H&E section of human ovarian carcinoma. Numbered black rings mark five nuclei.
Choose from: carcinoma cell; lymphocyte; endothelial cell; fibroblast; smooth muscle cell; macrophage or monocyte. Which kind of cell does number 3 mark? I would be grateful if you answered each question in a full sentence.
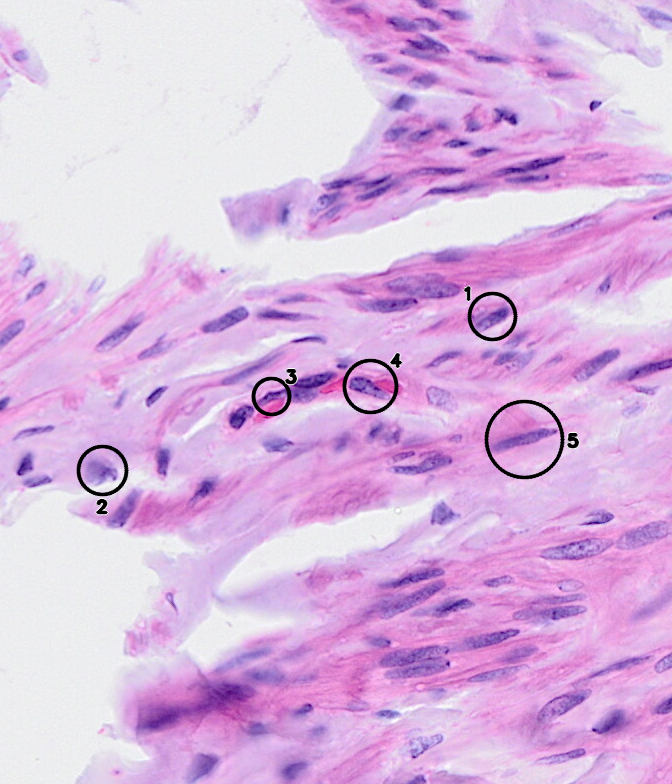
It is as an endothelial cell that the cell numbered 3 is identified.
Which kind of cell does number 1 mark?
That cell with number 1 is a smooth muscle cell.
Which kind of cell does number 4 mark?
Number 4 among the marked cells is an endothelial cell.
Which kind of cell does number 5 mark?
The correct label for cell 5 is a smooth muscle cell.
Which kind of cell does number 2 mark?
The nucleus labelled 2 belongs to a fibroblast.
